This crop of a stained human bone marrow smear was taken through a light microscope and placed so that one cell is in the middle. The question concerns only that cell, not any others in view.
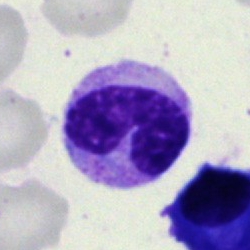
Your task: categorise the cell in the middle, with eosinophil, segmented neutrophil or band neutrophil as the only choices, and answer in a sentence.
The crop's centre is taken up by a band neutrophil.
